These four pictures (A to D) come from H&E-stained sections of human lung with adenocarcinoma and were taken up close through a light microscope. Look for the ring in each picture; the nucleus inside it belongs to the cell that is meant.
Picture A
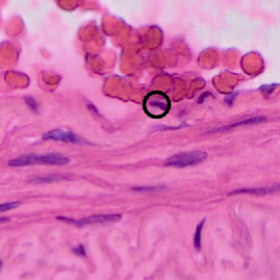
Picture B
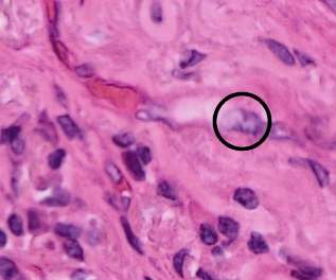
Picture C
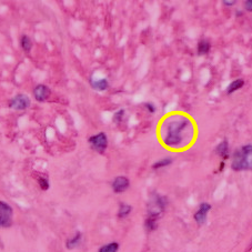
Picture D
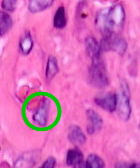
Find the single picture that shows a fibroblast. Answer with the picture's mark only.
C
